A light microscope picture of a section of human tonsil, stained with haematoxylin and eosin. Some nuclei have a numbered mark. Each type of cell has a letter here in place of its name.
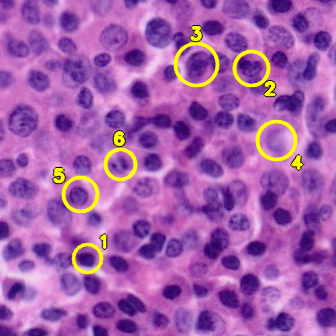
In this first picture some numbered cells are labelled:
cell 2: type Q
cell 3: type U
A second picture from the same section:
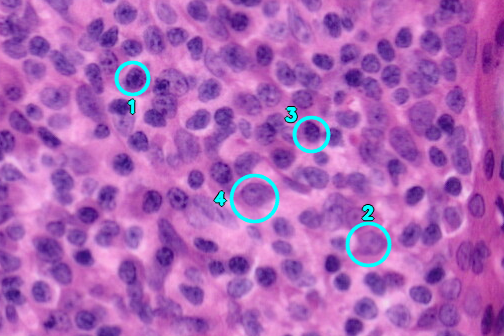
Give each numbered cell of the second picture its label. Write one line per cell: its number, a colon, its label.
1: type Q
2: type U
3: type Q
4: type U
